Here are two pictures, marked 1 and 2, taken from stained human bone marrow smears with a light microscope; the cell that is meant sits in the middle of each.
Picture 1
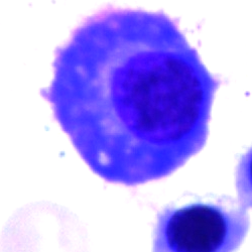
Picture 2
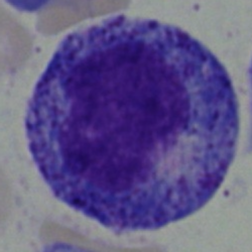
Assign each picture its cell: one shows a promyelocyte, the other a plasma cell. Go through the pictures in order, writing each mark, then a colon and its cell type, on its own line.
1: plasma cell
2: promyelocyte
